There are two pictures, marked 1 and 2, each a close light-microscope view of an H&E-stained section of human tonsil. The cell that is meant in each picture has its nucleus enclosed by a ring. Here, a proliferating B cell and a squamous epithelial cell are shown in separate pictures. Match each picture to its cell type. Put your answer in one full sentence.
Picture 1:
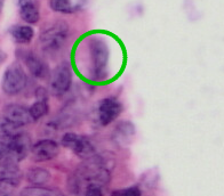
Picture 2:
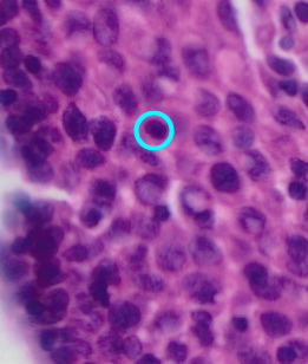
Picture 1 shows a proliferating B cell and picture 2 shows a squamous epithelial cell.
